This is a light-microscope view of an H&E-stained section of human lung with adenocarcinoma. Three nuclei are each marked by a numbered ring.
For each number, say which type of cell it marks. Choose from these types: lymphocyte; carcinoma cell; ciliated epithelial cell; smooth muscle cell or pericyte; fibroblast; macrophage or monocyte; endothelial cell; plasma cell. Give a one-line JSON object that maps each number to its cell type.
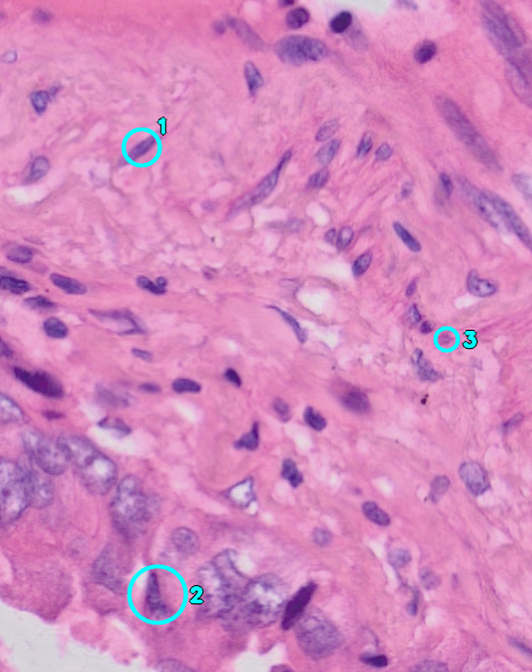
{"1": "smooth muscle cell or pericyte", "2": "carcinoma cell", "3": "smooth muscle cell or pericyte"}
